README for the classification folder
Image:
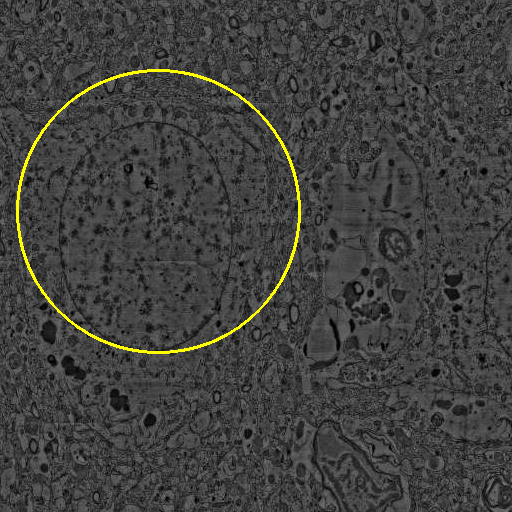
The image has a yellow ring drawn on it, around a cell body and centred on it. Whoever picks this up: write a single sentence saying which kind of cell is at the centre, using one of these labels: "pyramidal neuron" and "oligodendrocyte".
This cell body is that of a pyramidal neuron.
